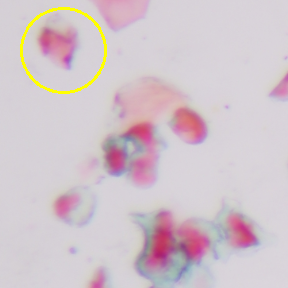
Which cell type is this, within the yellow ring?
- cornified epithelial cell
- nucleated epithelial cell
Within the ring is a cornified epithelial cell.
